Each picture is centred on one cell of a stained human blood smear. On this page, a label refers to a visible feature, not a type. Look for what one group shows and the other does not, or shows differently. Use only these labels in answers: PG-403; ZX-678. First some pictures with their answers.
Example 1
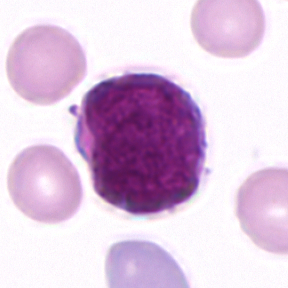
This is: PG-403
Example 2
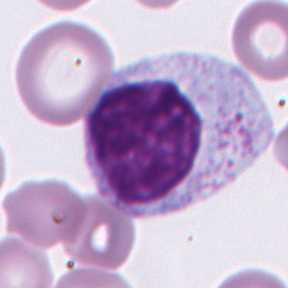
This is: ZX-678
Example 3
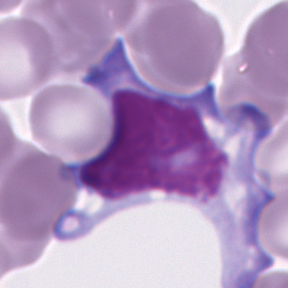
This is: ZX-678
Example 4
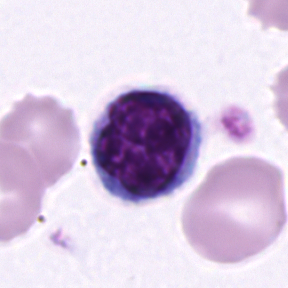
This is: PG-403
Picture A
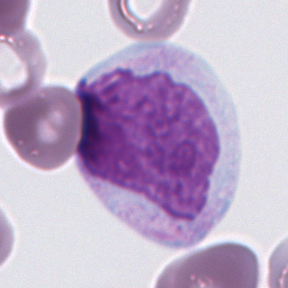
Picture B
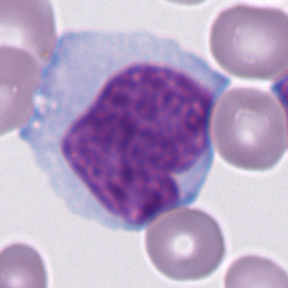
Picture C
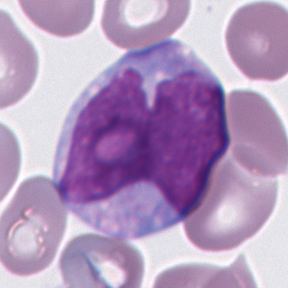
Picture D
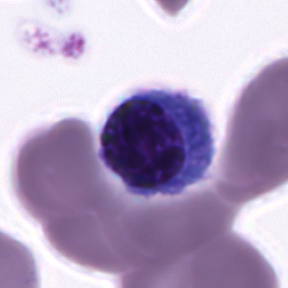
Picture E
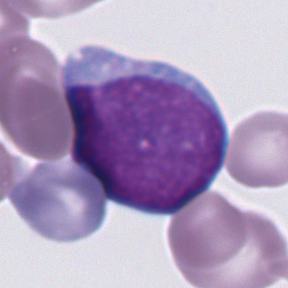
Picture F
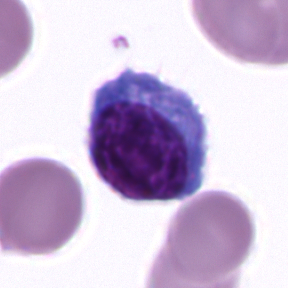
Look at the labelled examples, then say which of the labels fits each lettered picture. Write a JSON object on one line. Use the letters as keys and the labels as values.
{"A": "ZX-678", "B": "ZX-678", "C": "PG-403", "D": "PG-403", "E": "PG-403", "F": "ZX-678"}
